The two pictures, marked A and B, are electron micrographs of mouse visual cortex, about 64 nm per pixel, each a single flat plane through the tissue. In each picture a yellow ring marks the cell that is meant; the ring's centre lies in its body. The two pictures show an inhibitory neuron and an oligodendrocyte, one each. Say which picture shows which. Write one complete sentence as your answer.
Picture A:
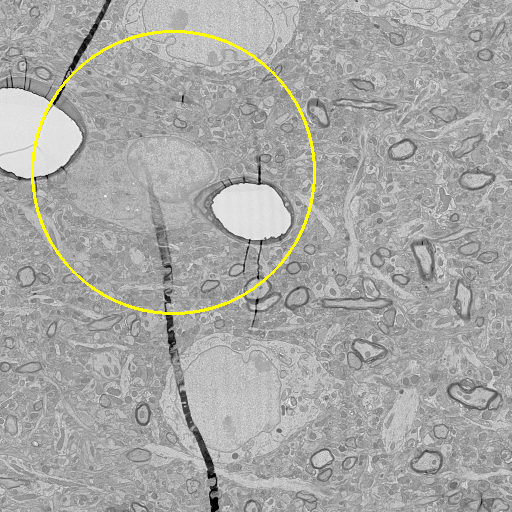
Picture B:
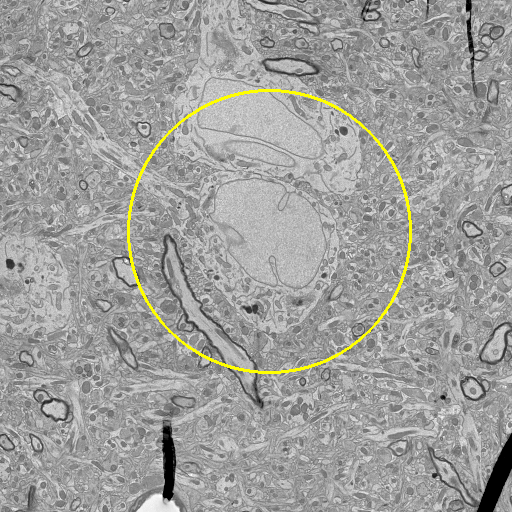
Picture A is of an oligodendrocyte, and picture B is of an inhibitory neuron.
